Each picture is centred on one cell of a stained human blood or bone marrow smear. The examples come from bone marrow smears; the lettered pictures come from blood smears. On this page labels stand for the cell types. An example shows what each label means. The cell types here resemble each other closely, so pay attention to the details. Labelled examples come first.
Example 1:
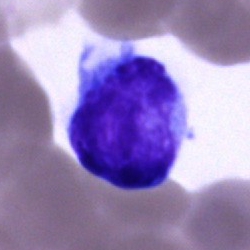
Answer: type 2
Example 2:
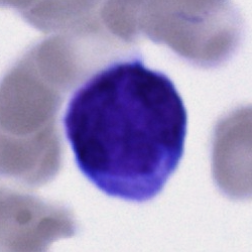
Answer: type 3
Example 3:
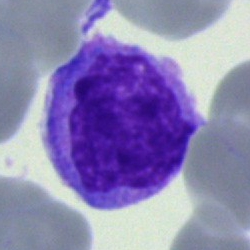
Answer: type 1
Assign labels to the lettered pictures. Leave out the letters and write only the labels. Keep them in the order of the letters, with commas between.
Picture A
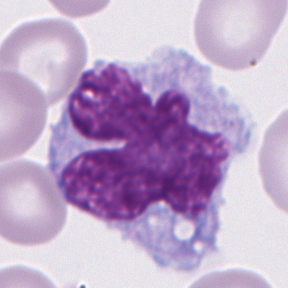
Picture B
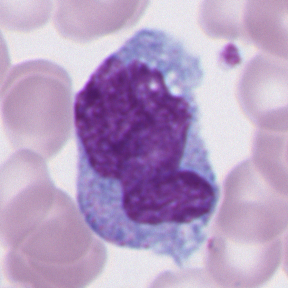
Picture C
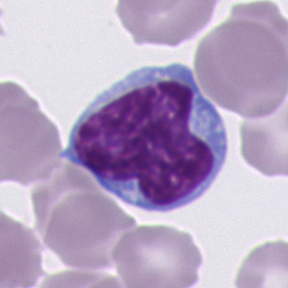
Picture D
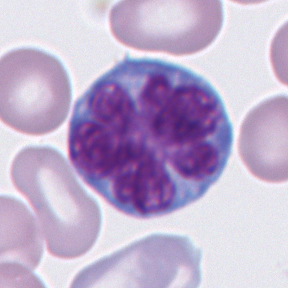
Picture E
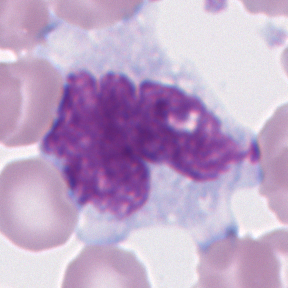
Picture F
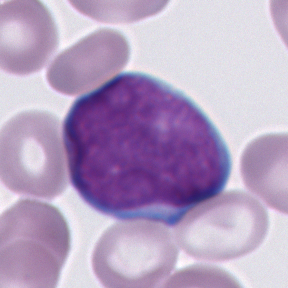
type 1, type 1, type 2, type 3, type 1, type 3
